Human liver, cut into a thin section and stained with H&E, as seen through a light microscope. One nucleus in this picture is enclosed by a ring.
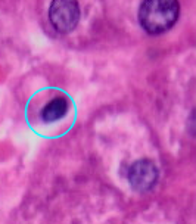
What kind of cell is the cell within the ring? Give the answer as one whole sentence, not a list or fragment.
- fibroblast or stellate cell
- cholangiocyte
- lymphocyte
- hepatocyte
The cell type represented by the cell within the ring is that of a lymphocyte.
